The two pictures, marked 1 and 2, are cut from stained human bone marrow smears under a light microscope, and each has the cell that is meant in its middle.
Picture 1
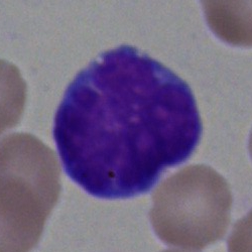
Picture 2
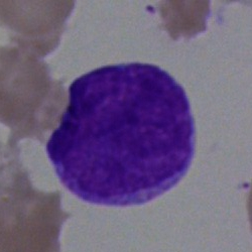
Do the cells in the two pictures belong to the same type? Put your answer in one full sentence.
Yes, both are blasts.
